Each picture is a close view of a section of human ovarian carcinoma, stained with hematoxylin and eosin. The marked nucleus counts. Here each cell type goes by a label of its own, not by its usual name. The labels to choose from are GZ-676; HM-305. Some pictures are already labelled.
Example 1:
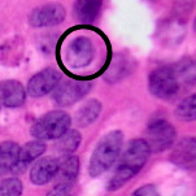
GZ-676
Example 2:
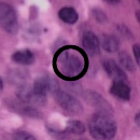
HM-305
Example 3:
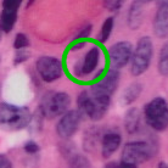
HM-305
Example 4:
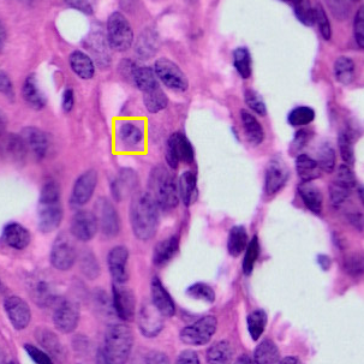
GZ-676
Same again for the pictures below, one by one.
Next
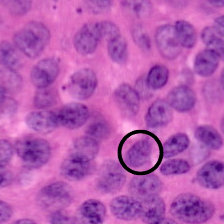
HM-305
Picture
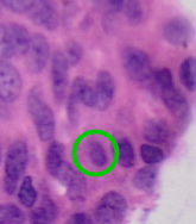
HM-305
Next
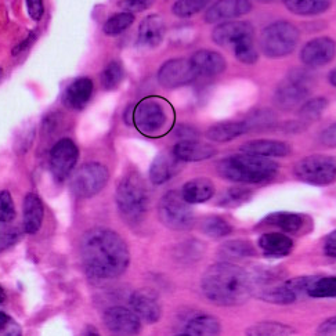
HM-305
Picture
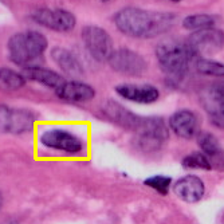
GZ-676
